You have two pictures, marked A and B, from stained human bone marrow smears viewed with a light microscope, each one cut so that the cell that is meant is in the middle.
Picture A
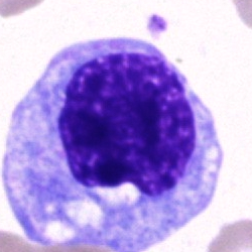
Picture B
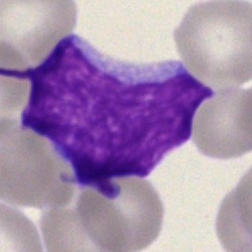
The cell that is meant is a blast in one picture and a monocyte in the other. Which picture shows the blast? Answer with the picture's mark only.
B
